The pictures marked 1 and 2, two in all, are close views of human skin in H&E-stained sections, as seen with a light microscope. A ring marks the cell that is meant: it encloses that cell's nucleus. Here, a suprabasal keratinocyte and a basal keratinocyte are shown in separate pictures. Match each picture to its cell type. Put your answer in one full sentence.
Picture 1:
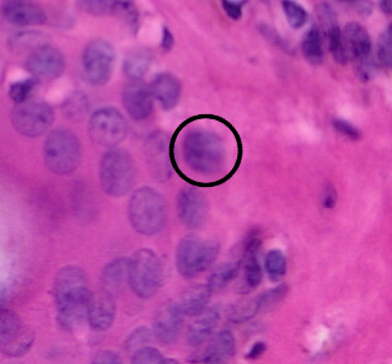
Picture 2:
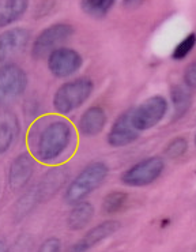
It is picture 1 that shows a basal keratinocyte, and picture 2 that shows a suprabasal keratinocyte.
